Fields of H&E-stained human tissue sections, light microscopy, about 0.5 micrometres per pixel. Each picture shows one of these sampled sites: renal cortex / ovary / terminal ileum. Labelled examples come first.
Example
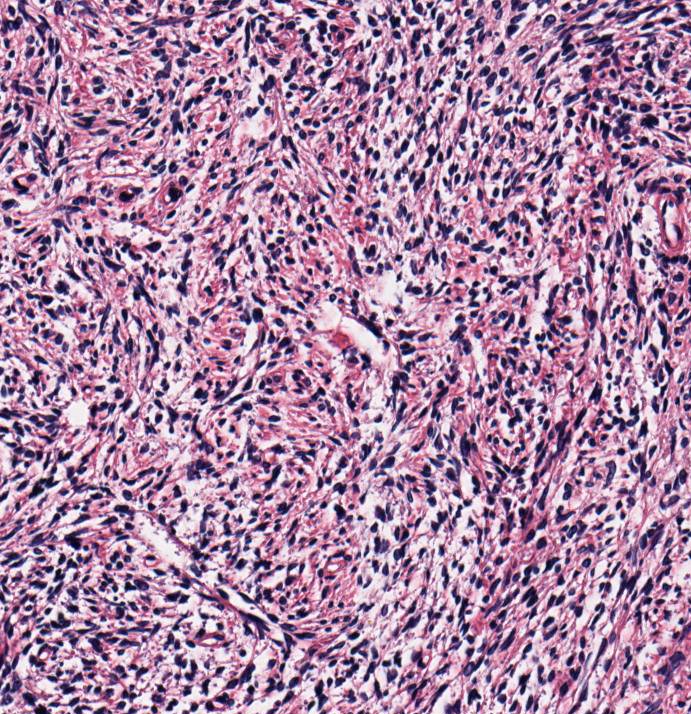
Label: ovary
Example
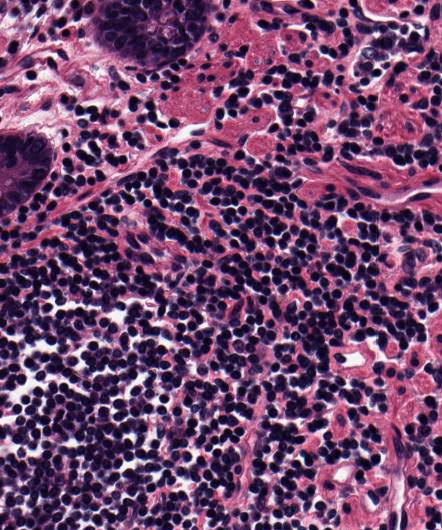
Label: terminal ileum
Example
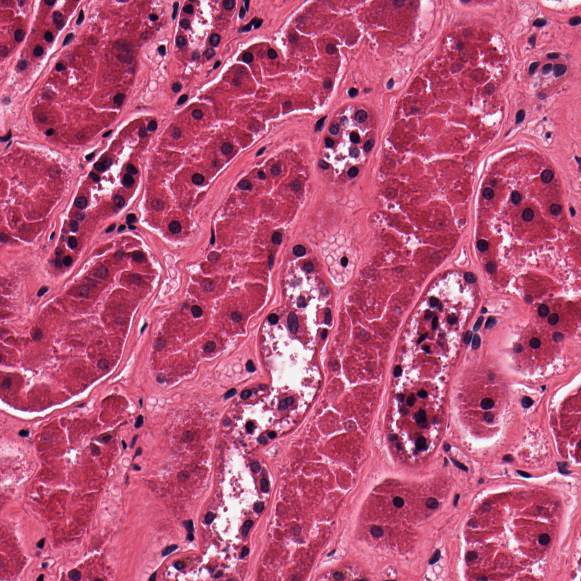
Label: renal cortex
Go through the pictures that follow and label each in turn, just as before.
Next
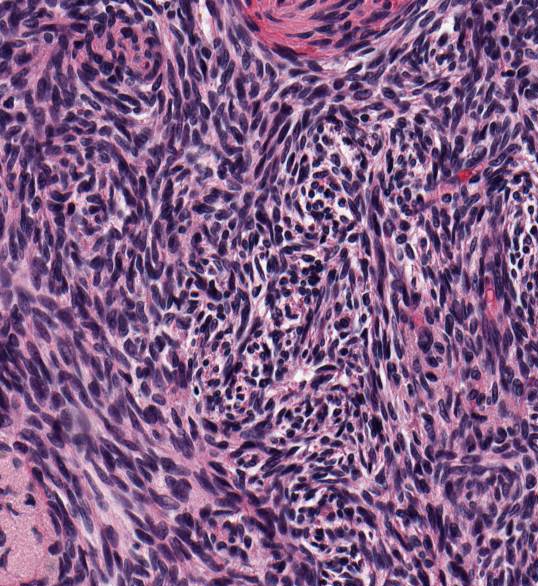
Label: ovary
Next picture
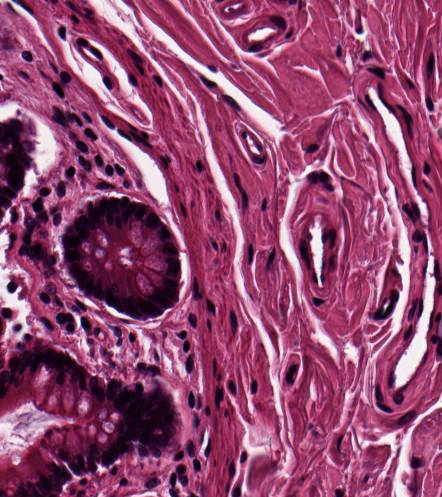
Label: terminal ileum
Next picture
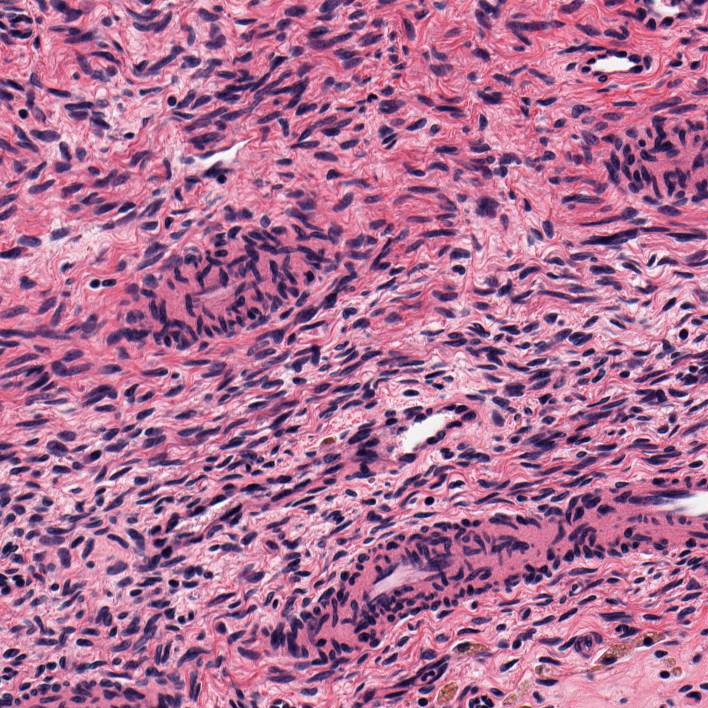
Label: ovary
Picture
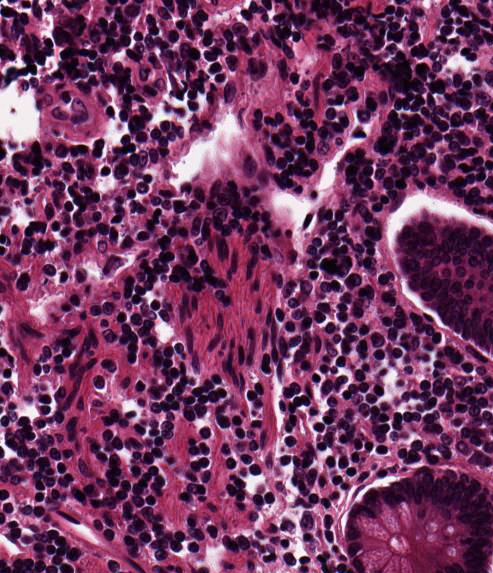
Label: terminal ileum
